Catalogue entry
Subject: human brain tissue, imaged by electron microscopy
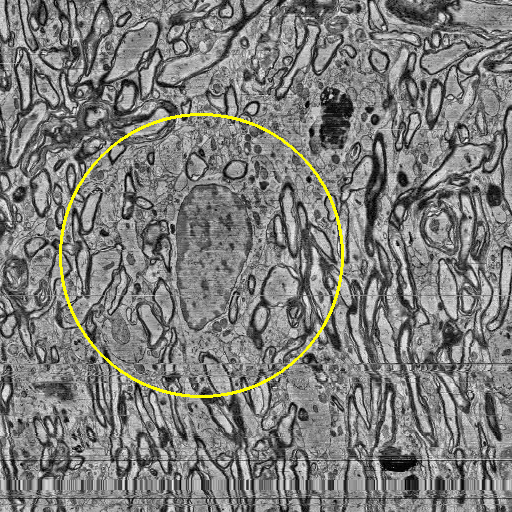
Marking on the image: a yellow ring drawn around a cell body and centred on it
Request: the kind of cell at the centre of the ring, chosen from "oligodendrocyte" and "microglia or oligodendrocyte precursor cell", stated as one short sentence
The ring has a microglial cell or oligodendrocyte precursor cell at its centre.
